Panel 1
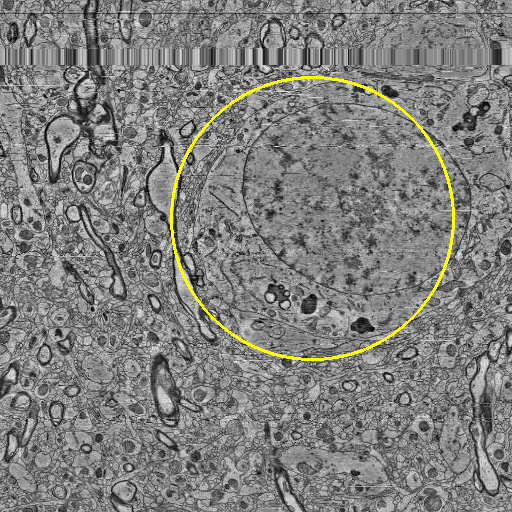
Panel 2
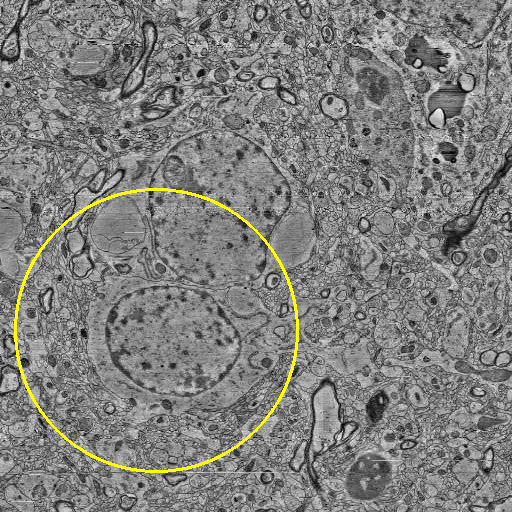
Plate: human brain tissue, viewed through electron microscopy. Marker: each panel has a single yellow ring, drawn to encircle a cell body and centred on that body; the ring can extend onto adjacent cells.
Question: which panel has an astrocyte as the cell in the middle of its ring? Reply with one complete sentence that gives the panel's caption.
Panel 2 is where the requested cell sits at the centre of the ring.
